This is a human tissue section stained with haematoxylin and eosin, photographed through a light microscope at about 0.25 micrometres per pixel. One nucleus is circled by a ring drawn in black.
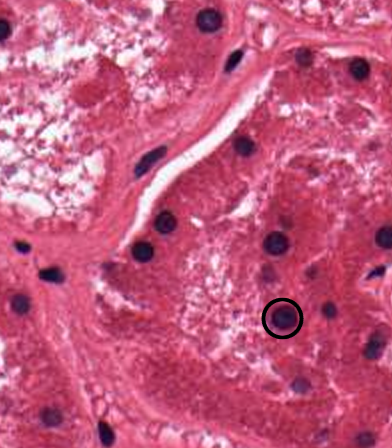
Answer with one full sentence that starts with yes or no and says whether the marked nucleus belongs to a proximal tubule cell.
Yes, the marked nucleus belongs to a proximal tubule cell in this image.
